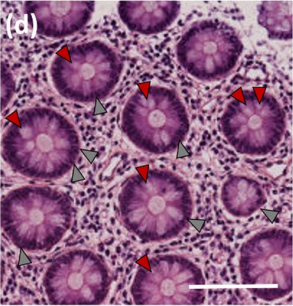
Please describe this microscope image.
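This is normal colonic mucosa cut across the crypts, showing round crypt profiles of similar size set in a cellular stroma. Each crypt is a ring of columnar epithelial cells with dark purple nuclei lined up regularly at the outer, basal edge. Inside the ring, pale rounded vacuoles fill the cell apices and radiate around a small central lumen, giving a flower-like pattern. Between the crypts the lamina propria holds many small dark round nuclei of stromal and inflammatory cells in a pink background. The crypts are evenly spaced and uniform in shape.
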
